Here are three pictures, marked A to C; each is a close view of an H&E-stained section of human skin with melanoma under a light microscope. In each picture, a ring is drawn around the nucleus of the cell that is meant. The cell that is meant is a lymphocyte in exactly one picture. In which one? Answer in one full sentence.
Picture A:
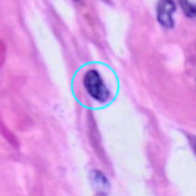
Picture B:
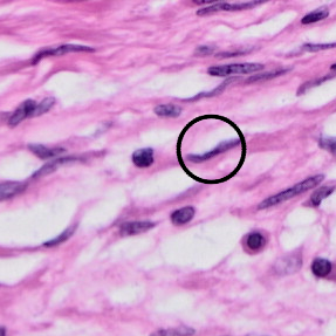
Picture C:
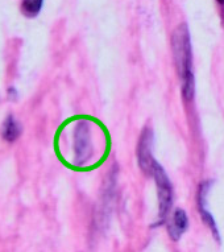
The picture with the lymphocyte is A.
